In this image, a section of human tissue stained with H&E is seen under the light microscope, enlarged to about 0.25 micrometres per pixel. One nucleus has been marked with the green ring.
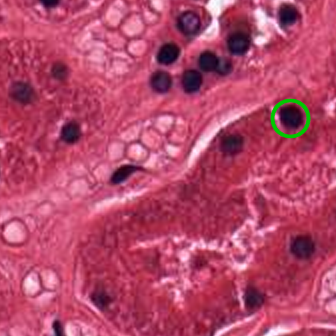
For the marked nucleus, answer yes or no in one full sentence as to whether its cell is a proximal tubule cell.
Yes, the marked nucleus is one that belongs to a proximal tubule cell.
